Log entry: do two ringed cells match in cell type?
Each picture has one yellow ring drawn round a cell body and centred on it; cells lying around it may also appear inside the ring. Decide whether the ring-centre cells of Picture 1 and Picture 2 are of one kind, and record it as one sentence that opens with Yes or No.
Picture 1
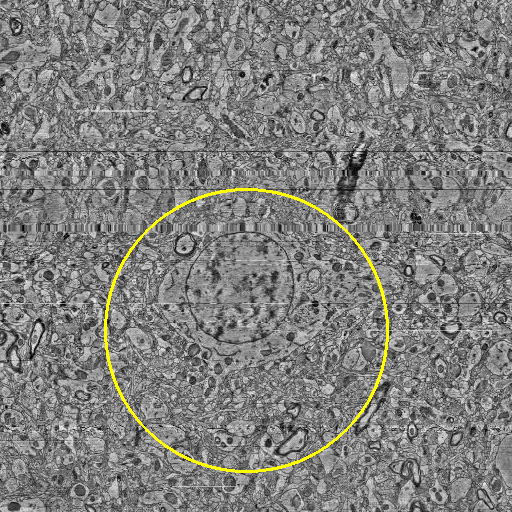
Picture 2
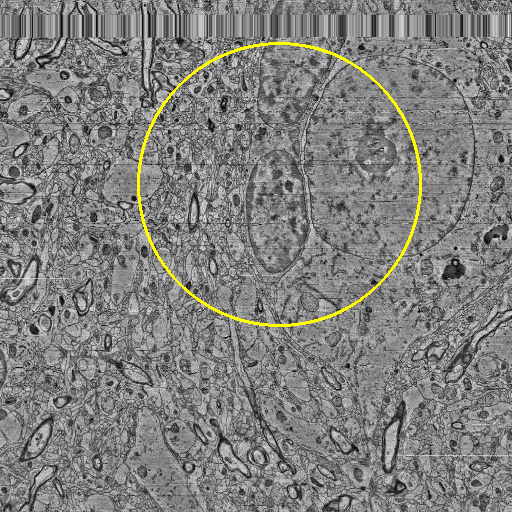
No, the cells at the ring centres of the two pictures belong to two kinds.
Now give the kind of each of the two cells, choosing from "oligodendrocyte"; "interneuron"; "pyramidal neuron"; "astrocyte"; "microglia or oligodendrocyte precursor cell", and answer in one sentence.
The cell in the first picture is a pyramidal neuron, and the cell in the second is an oligodendrocyte.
